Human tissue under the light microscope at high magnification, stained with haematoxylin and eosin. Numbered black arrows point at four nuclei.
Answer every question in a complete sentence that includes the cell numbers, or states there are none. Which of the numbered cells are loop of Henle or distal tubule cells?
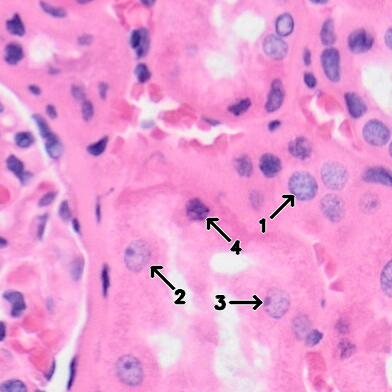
Only the cell with the number 1 is a loop of Henle or distal tubule cell.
